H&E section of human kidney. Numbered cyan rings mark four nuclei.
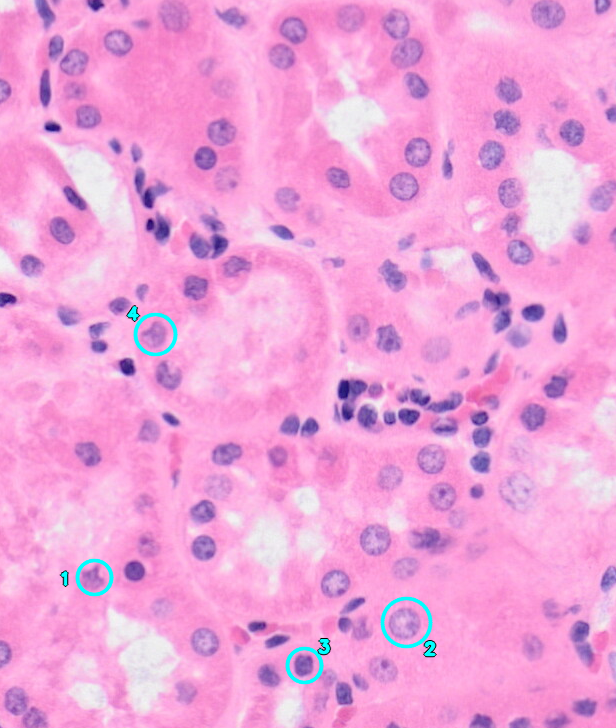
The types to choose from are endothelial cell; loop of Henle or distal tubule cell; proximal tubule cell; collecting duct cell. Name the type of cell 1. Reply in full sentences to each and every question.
What the number 1 marks in this field is a proximal tubule cell.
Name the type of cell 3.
The cell identified by the number 3 is a loop of Henle or distal tubule cell.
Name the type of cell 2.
The cell indicated by marker 2 is a proximal tubule cell in this section.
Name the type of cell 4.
Cell 4, among those numbered, is a proximal tubule cell.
